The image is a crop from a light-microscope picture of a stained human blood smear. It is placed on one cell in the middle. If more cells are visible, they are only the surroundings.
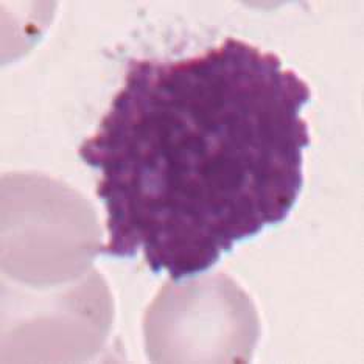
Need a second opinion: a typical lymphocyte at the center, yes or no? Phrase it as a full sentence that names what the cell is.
No, the correct answer for the middle cell is a smudge cell, not a typical lymphocyte.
